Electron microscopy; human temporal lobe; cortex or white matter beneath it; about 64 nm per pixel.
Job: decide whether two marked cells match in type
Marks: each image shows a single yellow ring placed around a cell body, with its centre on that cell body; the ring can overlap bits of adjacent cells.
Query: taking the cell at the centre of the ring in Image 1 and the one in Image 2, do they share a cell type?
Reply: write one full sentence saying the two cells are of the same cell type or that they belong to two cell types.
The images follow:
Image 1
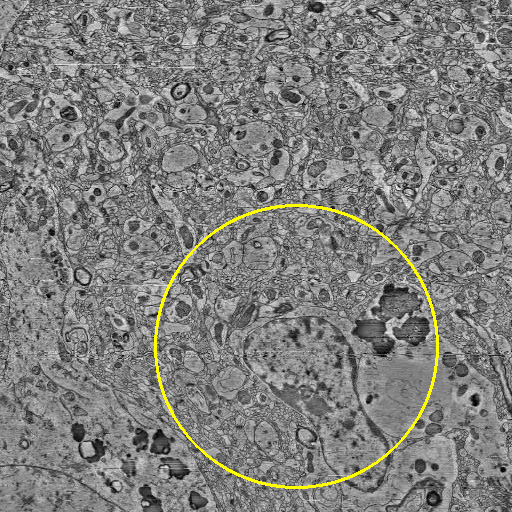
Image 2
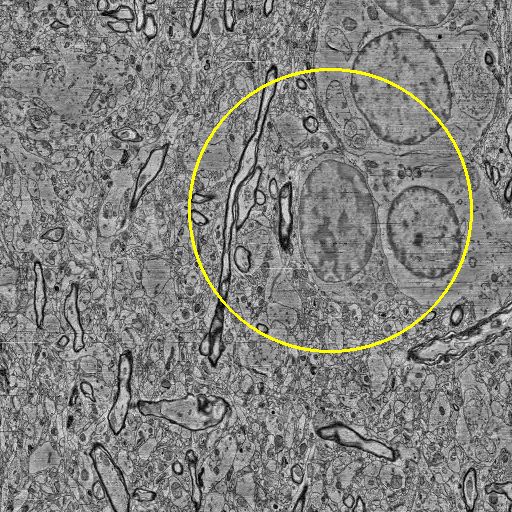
The cells at the ring centres in Image 1 and Image 2 belong to two cell types.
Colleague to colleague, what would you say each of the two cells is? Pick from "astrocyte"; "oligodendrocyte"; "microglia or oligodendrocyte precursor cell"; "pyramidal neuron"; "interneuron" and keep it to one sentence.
The cell in the first picture is a microglial cell or oligodendrocyte precursor cell; the second picture's cell is an oligodendrocyte.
